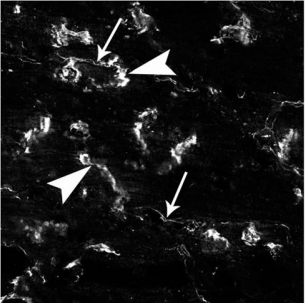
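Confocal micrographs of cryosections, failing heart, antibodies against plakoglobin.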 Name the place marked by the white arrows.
Lateral edges of the cardiomyocytes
